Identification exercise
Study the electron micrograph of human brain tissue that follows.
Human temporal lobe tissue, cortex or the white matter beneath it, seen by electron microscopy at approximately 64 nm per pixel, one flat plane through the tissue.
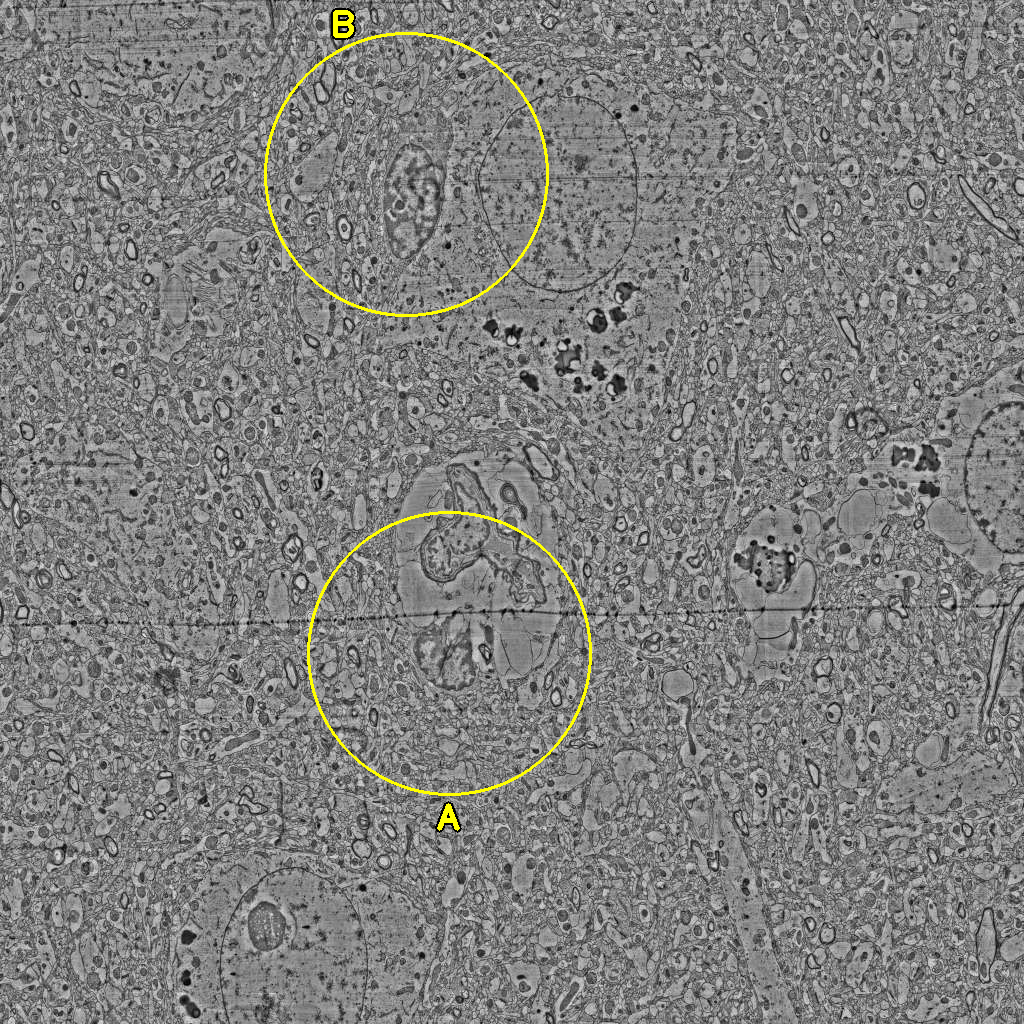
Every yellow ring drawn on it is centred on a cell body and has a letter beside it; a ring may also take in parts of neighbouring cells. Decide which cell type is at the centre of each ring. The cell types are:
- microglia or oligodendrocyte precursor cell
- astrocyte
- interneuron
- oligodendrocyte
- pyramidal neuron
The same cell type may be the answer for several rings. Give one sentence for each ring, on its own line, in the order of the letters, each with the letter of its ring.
Ring A encircles an oligodendrocyte.
Ring B encircles an oligodendrocyte.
